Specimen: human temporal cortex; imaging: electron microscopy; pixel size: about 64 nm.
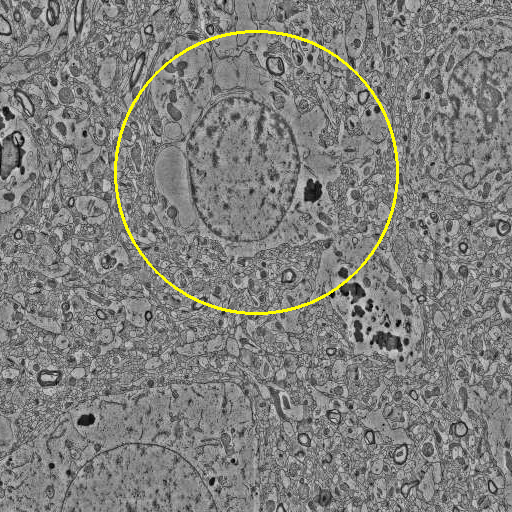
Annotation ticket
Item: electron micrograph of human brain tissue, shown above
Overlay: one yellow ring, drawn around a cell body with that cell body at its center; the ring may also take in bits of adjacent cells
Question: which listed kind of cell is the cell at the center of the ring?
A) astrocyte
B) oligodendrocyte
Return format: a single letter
A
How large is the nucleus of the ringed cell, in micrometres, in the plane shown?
Roughly 9 by 7 micrometres is the size of the nucleus in this plane.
